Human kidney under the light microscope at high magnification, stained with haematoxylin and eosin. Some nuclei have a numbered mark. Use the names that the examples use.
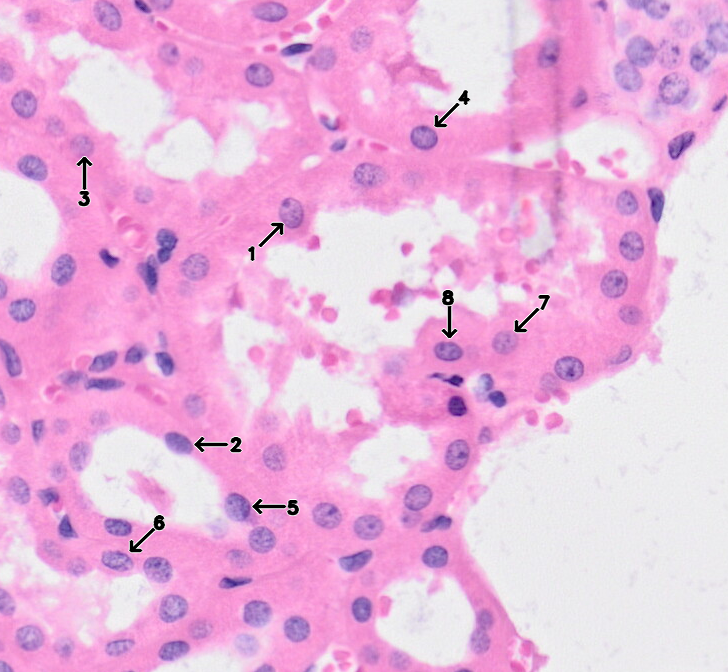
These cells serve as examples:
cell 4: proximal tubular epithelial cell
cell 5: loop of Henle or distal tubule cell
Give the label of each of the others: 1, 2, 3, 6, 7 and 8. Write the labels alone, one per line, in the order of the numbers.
proximal tubular epithelial cell
loop of Henle or distal tubule cell
proximal tubular epithelial cell
loop of Henle or distal tubule cell
proximal tubular epithelial cell
proximal tubular epithelial cell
